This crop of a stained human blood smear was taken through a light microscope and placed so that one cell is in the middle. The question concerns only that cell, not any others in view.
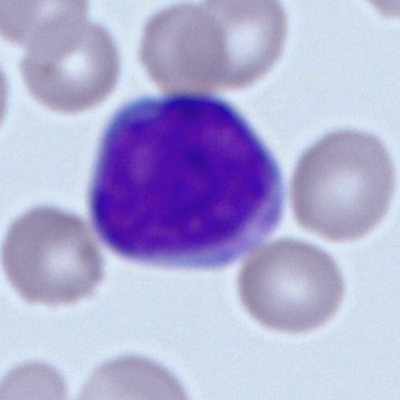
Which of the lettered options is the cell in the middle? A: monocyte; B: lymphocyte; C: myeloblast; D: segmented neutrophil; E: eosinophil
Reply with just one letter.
C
